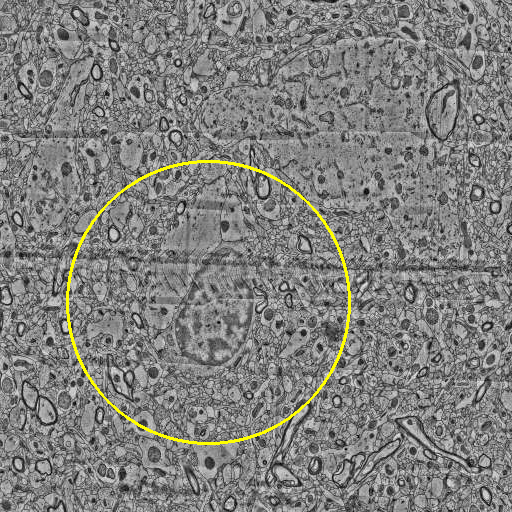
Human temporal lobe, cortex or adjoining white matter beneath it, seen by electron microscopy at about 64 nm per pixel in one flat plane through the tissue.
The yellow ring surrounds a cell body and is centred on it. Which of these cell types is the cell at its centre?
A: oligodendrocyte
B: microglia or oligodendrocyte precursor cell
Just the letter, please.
A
